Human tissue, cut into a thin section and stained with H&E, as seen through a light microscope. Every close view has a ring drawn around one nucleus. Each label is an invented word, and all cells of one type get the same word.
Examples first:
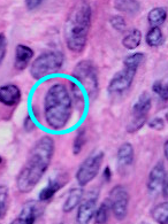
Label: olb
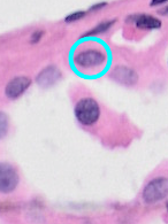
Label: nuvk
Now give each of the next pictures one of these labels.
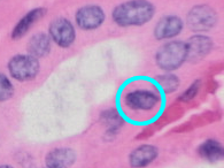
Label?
nuvk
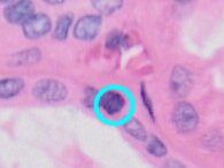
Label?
nuvk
